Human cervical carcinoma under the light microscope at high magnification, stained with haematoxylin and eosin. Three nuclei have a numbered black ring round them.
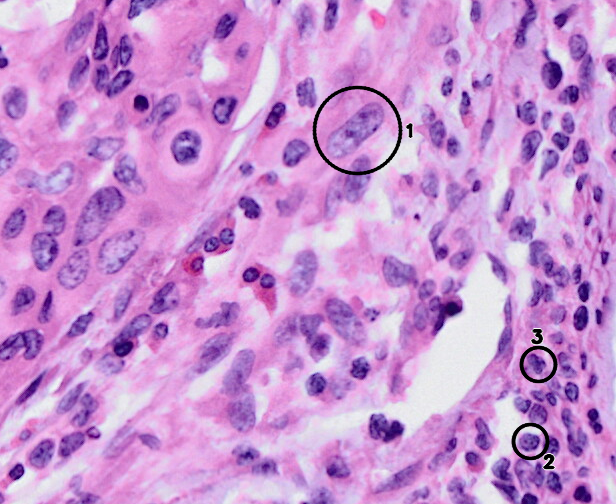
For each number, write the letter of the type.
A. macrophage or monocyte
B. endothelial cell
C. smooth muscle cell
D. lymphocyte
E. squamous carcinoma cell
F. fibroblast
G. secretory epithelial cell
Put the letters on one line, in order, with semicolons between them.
B; D; D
